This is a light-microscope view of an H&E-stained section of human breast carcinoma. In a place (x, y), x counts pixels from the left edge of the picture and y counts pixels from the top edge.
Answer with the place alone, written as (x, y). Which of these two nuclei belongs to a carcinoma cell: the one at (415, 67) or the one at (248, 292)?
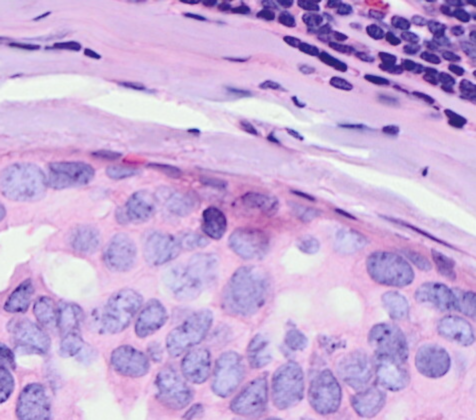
(248, 292)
